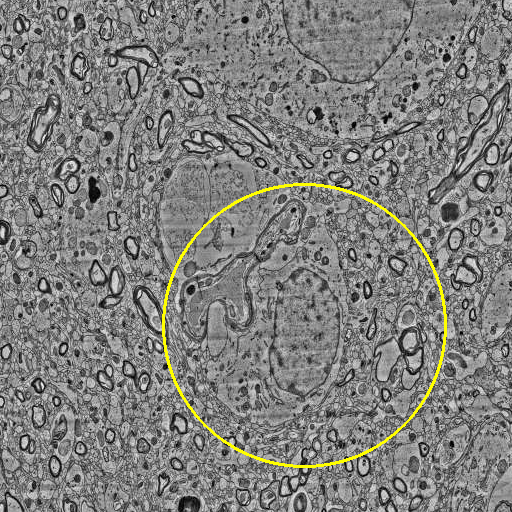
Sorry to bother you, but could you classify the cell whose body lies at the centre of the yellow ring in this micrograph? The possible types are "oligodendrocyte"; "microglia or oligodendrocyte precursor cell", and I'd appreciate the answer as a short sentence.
The ringed cell body is that of a microglial cell or oligodendrocyte precursor cell.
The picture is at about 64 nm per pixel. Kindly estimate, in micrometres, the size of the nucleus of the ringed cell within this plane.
Roughly 8 micrometres long and 4 micrometres wide; in this plane the nucleus is clearly longer than it is wide.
